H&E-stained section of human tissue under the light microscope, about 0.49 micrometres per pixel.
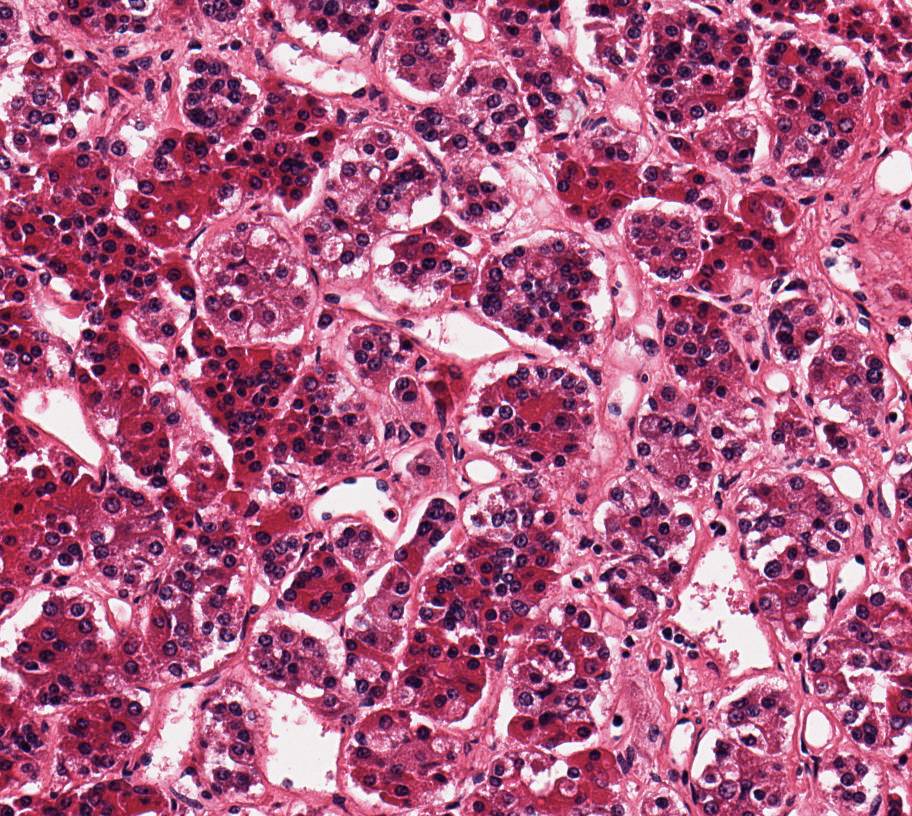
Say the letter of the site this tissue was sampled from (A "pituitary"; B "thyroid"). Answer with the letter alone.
A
